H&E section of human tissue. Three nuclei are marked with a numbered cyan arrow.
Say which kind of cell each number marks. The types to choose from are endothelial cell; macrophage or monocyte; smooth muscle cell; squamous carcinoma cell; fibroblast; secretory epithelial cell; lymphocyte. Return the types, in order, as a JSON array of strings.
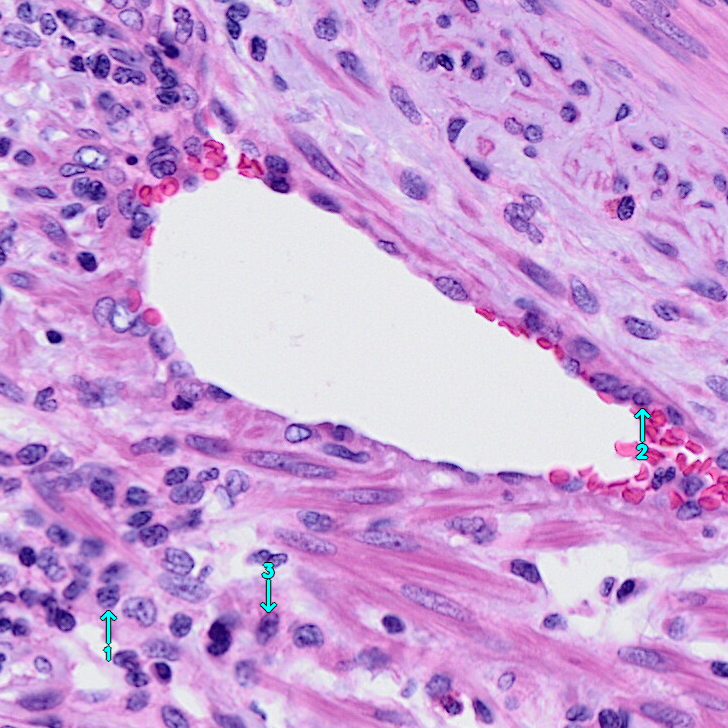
["lymphocyte", "endothelial cell", "macrophage or monocyte"]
